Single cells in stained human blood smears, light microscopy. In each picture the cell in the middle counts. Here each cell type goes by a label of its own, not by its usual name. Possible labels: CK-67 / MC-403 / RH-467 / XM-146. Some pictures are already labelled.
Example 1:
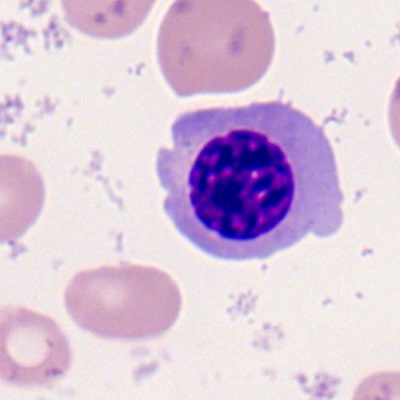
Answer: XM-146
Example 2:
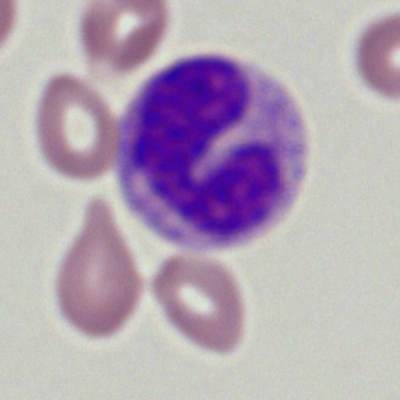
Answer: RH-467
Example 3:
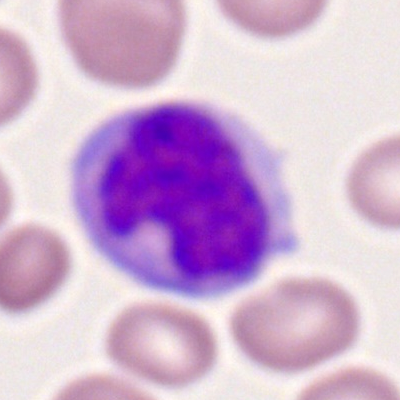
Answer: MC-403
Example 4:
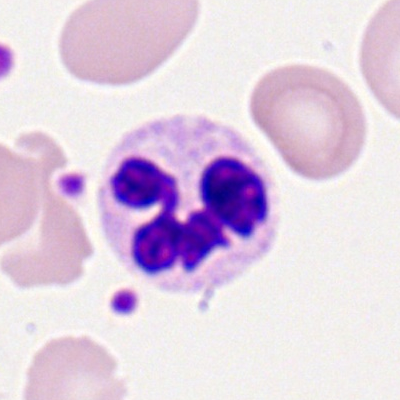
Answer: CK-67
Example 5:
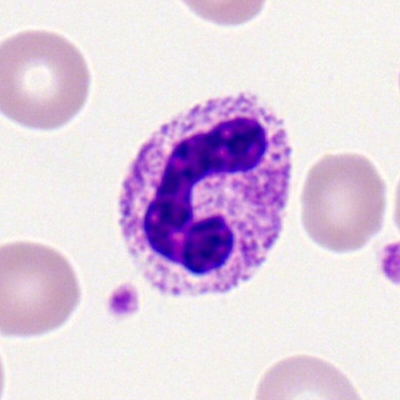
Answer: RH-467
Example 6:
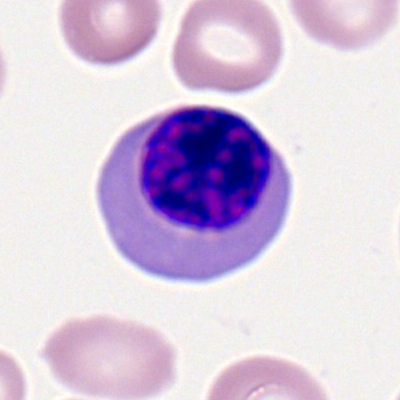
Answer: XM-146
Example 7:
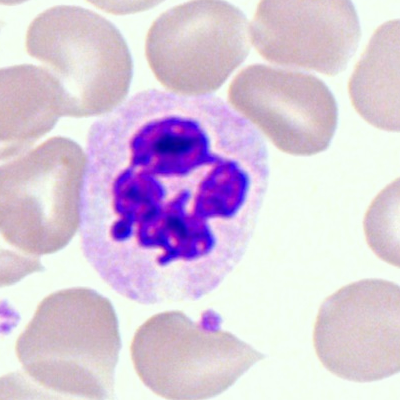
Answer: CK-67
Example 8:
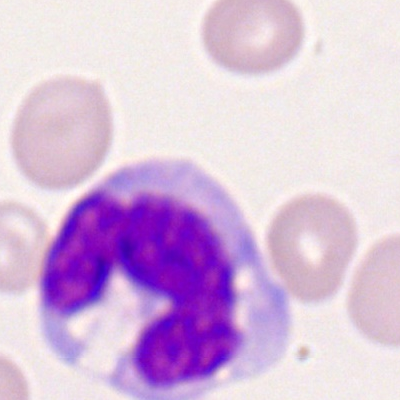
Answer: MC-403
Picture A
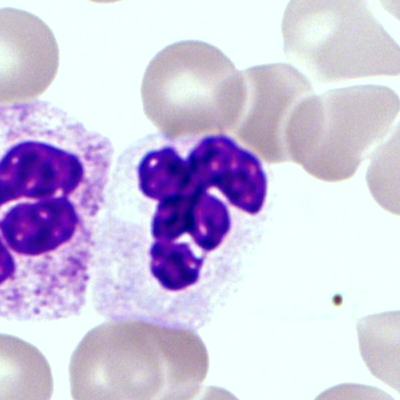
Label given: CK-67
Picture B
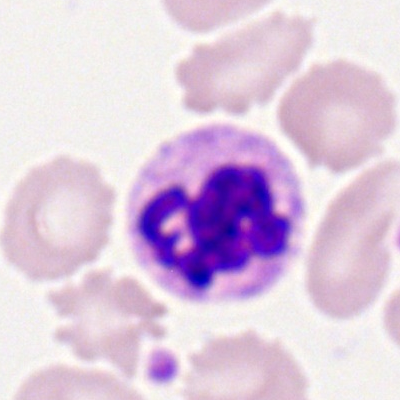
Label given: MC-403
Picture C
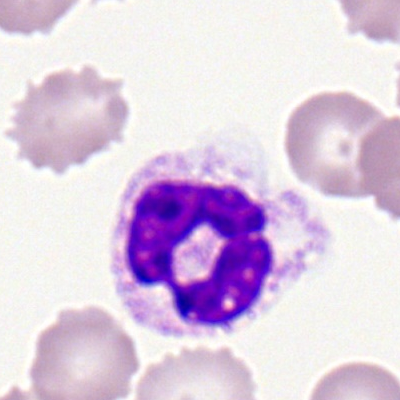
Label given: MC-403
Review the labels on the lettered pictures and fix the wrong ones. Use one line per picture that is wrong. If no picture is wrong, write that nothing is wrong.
Wrong: B (MC-403); correct: CK-67
Wrong: C (MC-403); correct: CK-67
